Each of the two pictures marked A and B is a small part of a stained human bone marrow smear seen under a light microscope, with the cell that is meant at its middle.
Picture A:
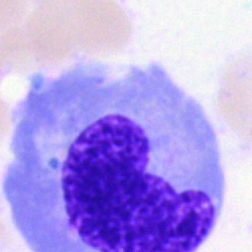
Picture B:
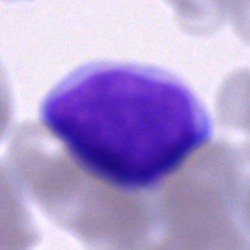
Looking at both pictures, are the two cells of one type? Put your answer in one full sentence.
No, picture A shows an erythroblast and picture B shows a blast.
